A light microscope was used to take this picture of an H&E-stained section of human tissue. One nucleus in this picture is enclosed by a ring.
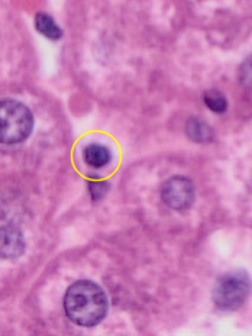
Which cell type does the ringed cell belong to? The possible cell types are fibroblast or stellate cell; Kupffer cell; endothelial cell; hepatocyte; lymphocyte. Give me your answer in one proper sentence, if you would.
So far as cell type goes, the ringed cell is a lymphocyte.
